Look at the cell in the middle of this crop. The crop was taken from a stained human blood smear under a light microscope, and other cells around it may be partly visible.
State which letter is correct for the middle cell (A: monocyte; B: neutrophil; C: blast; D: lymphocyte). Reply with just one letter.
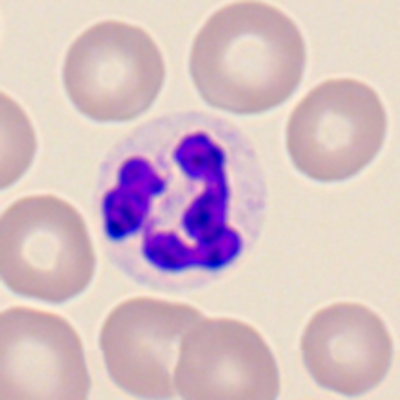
B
